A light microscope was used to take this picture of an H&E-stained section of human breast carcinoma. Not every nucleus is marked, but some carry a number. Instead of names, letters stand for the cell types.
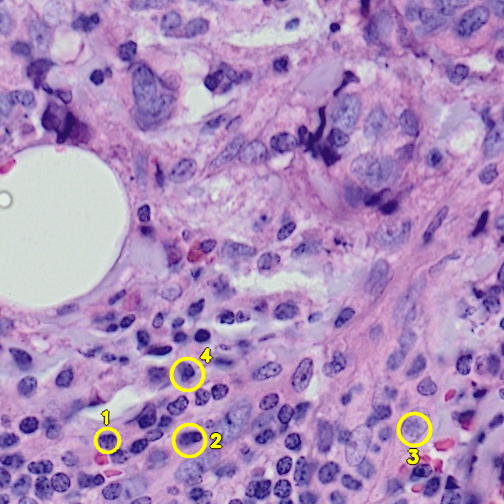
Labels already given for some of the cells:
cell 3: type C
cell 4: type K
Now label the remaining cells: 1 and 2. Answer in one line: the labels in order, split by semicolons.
type K; type K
